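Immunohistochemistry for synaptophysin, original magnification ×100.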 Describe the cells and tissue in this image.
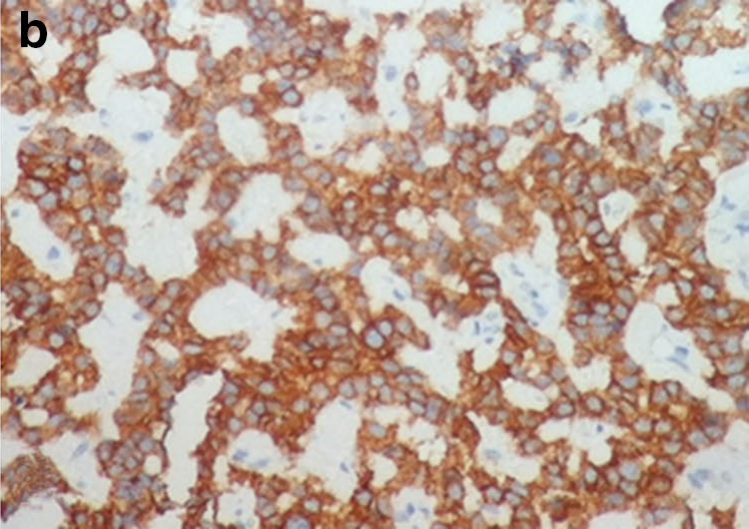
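Tumor cells arranged in interconnected cords and nests are separated by pale, unstained spaces. Nearly all tumor cells show strong brown staining of their cytoplasm and cell borders, with round blue nuclei at their centres. The pale spaces between the cords contain a few unstained spindle-shaped cells with blue nuclei.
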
